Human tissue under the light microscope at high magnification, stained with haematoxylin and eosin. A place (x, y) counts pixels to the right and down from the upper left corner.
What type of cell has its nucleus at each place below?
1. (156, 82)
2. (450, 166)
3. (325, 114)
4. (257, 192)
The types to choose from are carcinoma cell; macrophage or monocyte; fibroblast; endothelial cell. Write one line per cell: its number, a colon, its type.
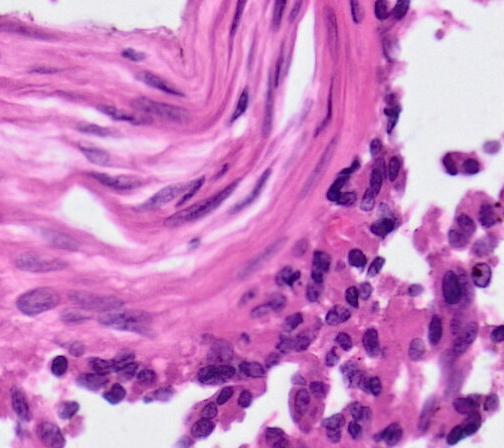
1: fibroblast
2: carcinoma cell
3: fibroblast
4: fibroblast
